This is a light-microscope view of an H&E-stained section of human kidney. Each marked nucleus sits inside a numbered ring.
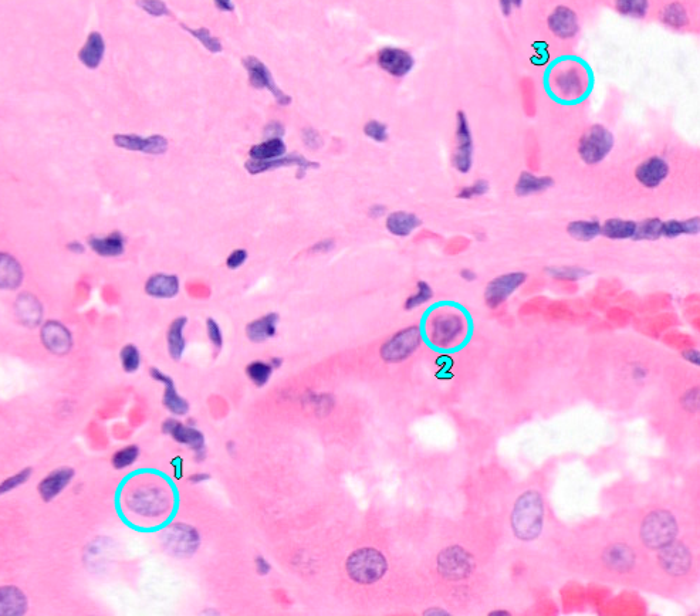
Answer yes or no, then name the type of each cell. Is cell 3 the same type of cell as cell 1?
Yes, cell 3 is among the loop of Henle or distal tubule cells, and cell 1 is as well.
